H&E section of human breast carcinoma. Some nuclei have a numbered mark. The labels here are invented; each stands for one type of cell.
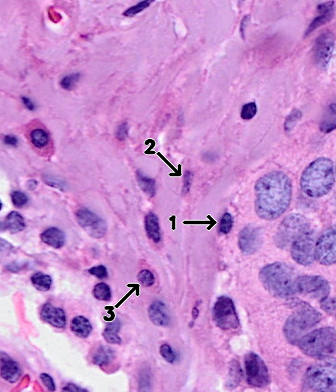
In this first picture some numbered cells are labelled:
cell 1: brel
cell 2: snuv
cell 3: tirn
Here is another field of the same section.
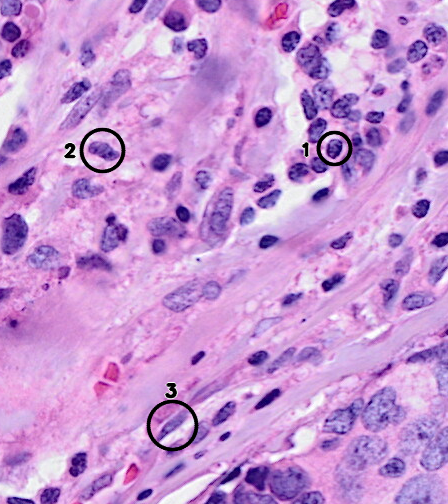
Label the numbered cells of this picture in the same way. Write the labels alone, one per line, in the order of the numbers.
brel
tirn
snuv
